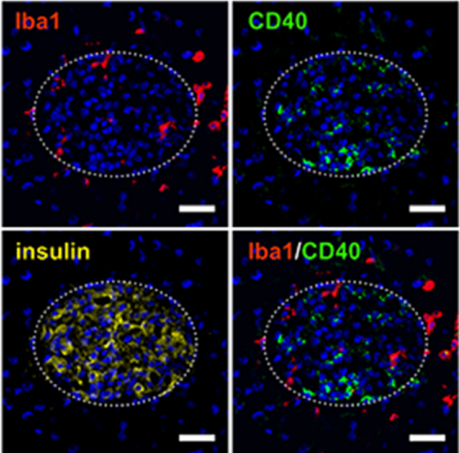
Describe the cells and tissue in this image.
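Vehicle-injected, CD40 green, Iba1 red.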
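This is a pancreatic islet, seen as a rounded, compact cluster of endocrine cells with blue nuclei packed closely together. Most cells of the cluster have cytoplasm filled with yellow staining, and small green dots and patches lie scattered among them inside the islet. Red, irregular and elongated cells sit mainly at the rim and outside the islet, and their red does not coincide with the green inside it.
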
